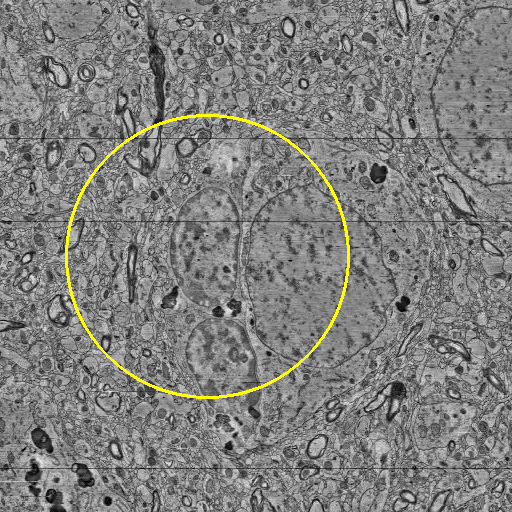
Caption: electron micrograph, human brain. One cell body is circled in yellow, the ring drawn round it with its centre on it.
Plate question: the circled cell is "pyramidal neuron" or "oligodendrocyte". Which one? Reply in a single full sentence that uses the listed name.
The yellow ring on the plate is centred on an oligodendrocyte, going by the listed names.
